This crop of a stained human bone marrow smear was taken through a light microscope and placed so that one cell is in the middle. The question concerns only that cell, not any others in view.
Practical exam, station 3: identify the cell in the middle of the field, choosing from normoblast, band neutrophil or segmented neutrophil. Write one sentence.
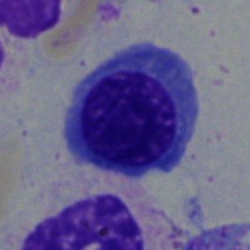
The cell centered in this field of view is a normoblast.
